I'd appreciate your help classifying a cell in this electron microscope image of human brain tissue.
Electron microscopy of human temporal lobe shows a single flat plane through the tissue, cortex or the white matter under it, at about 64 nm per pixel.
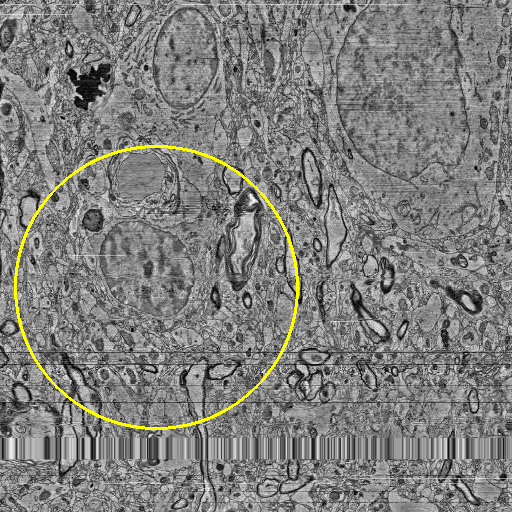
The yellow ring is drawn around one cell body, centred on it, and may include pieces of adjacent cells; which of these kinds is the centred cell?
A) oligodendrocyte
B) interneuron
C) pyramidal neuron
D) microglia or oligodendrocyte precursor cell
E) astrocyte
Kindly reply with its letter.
A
